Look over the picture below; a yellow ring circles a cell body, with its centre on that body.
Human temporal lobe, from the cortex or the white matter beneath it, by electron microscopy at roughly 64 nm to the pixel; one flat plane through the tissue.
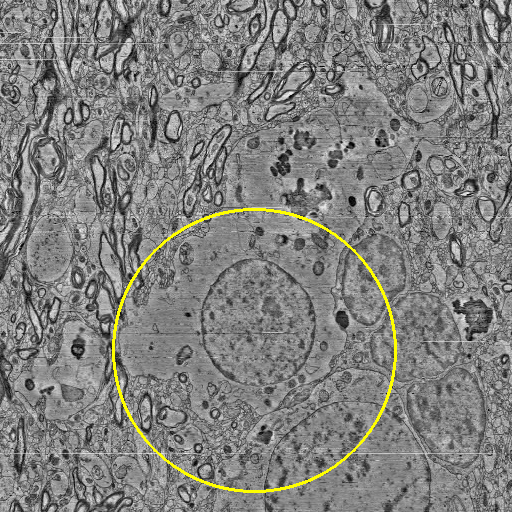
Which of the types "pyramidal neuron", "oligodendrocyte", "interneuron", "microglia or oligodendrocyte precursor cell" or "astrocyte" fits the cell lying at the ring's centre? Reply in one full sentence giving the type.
The picture shows an astrocyte at the centre of the yellow ring.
